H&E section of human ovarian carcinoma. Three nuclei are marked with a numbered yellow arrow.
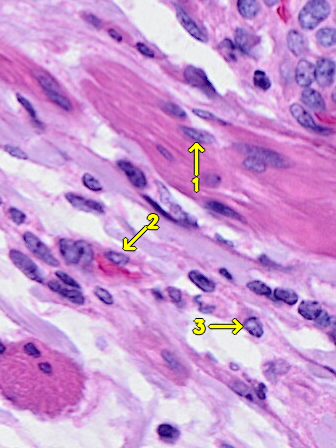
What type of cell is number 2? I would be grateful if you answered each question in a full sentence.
Regarding cell 2, this one is an endothelial cell.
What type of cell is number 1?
Number 1 among the marked cells is a smooth muscle cell.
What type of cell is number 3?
Cell 3 in the field of view is a macrophage or monocyte.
